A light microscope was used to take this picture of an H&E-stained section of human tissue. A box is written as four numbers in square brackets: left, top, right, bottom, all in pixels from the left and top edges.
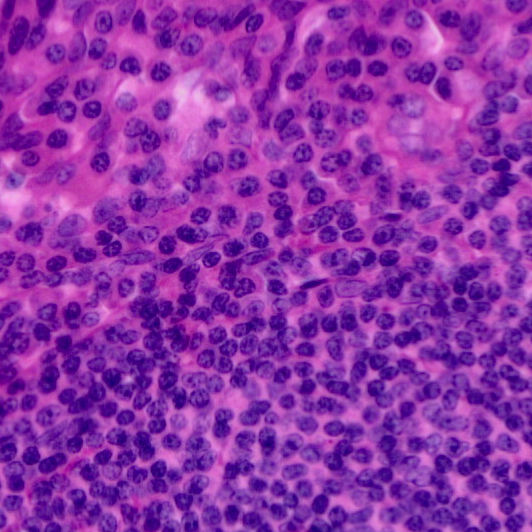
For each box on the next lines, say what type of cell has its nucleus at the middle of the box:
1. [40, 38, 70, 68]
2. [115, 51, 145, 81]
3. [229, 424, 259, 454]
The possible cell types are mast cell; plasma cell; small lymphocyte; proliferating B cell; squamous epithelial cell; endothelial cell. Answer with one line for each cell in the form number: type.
1: plasma cell
2: plasma cell
3: small lymphocyte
